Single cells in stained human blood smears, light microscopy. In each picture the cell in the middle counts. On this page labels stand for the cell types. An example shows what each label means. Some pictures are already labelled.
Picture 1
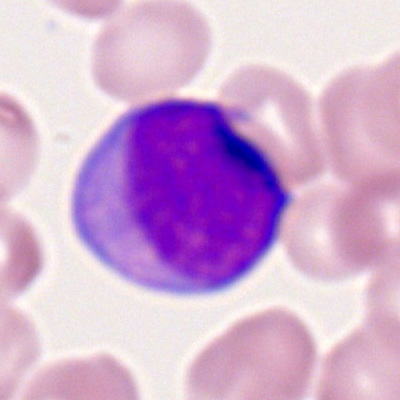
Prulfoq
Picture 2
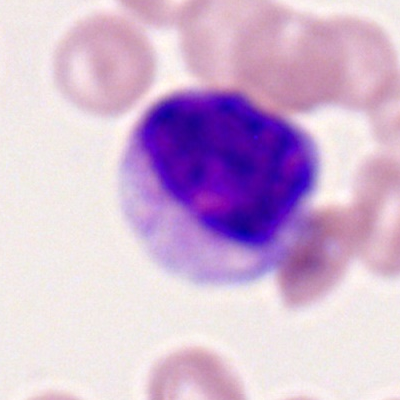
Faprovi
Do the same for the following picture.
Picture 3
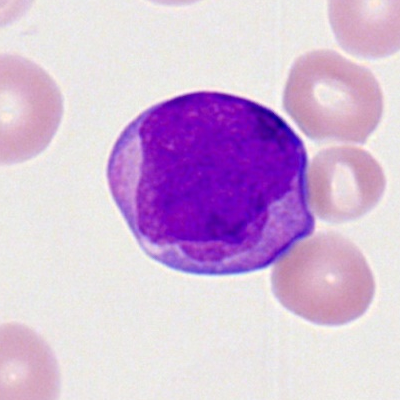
Prulfoq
